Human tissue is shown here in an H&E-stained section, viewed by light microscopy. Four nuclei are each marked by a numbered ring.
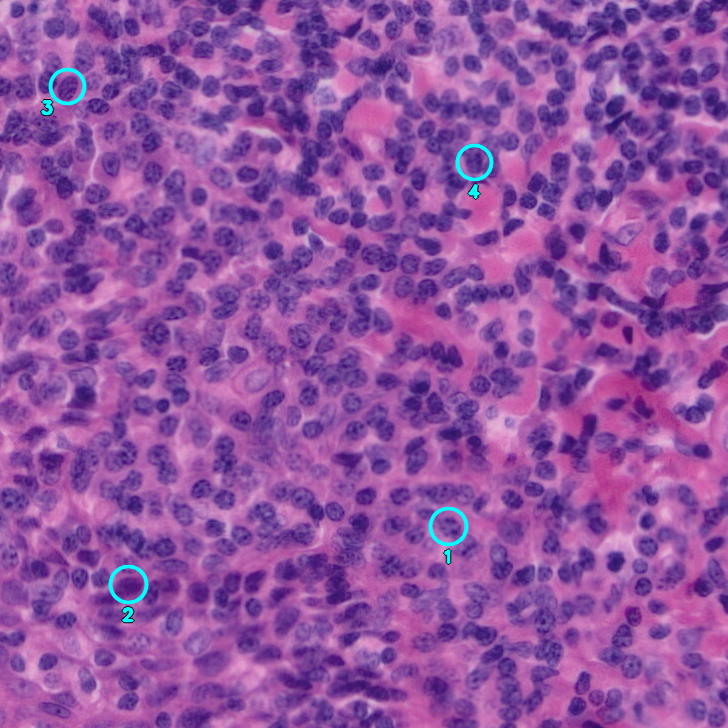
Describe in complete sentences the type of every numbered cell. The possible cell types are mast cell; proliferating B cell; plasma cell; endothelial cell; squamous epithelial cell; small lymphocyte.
Cell 1 is a plasma cell, cell 2 is a squamous epithelial cell, cell 3 is a plasma cell and cell 4 is a small lymphocyte.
